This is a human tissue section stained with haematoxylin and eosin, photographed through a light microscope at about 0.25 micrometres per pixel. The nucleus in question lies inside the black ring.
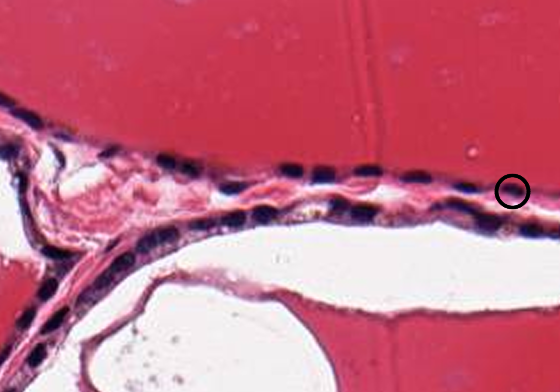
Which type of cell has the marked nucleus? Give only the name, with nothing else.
thyroid follicular cell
